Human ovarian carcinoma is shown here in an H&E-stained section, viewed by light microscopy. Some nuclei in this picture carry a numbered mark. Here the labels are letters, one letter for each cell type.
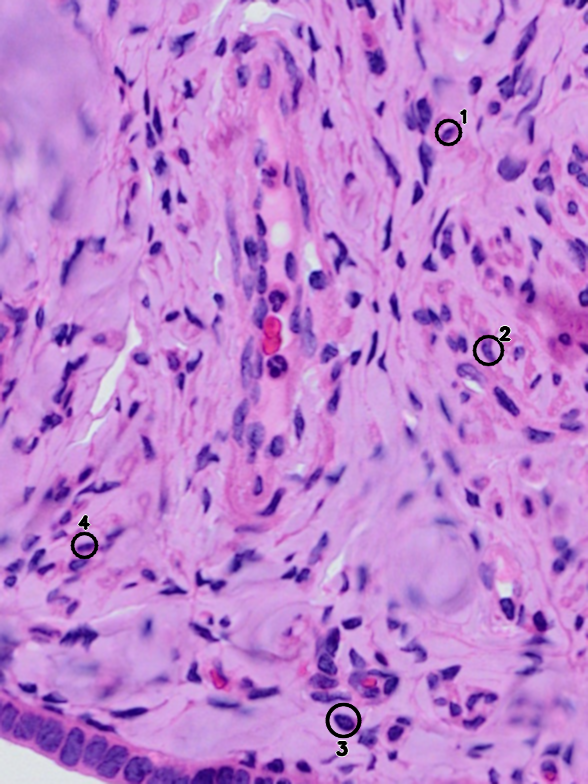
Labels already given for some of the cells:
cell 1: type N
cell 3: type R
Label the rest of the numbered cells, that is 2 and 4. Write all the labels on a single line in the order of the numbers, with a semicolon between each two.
type N; type N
